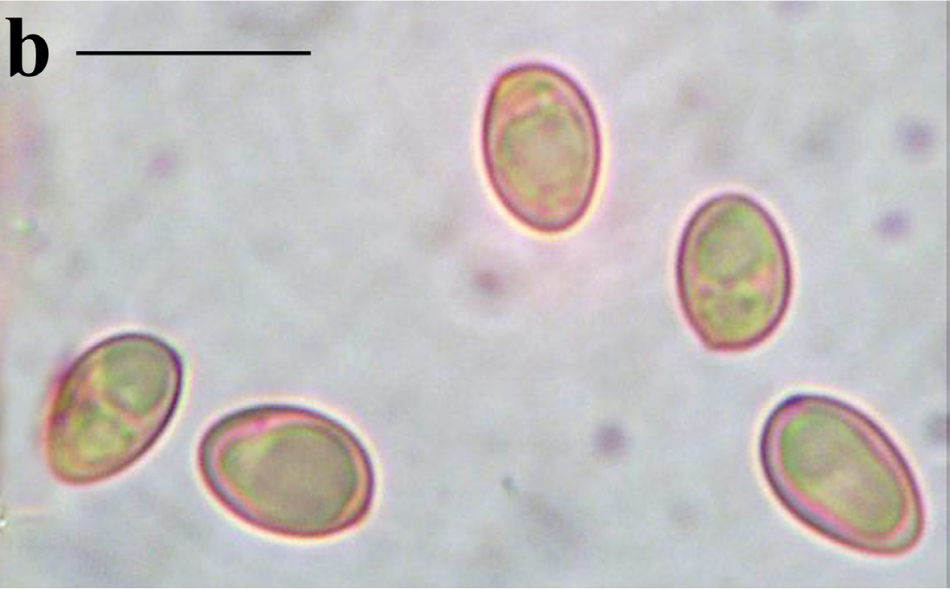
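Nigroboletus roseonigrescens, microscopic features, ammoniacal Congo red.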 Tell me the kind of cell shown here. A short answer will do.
Spores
